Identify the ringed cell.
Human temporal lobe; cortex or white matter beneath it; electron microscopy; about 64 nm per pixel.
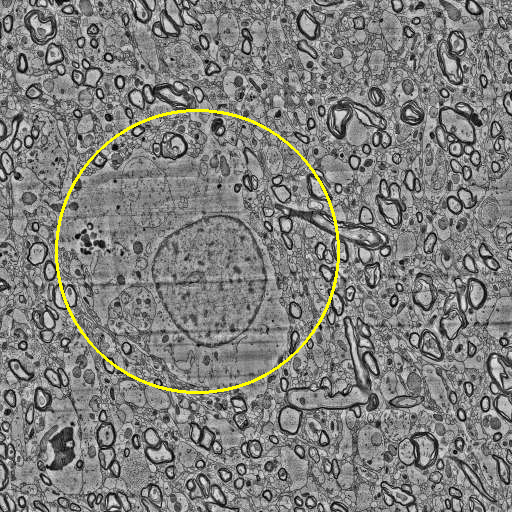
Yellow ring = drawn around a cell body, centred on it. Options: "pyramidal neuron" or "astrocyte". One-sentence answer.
What the ring is centred on is an astrocyte.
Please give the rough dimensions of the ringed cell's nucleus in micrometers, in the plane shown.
The ringed cell's nucleus is about 9 micrometres long and 7 micrometres wide in this plane.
